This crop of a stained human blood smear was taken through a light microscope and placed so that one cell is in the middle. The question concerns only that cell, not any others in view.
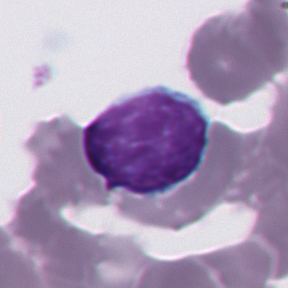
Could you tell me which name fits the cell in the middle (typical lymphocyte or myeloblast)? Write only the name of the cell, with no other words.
typical lymphocyte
